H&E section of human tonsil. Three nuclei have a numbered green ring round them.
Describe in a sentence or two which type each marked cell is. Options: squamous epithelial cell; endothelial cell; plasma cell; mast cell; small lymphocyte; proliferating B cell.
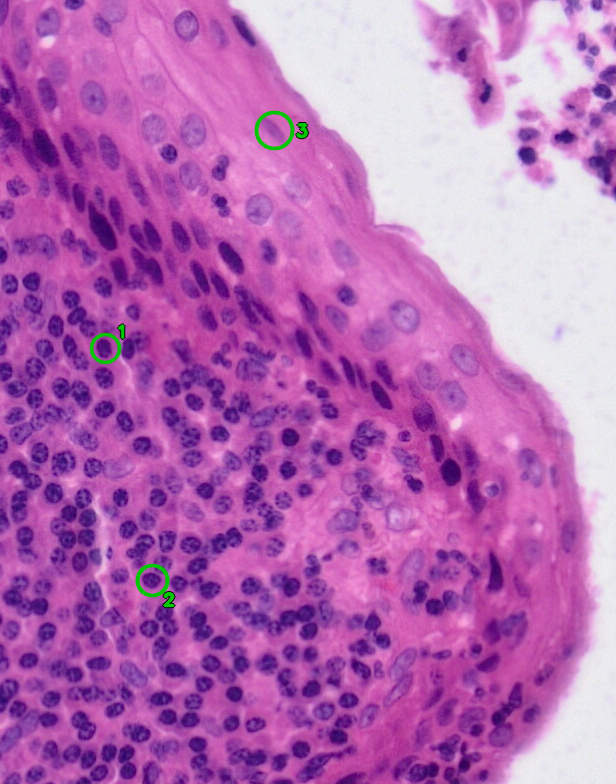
Cells 1 and 2 are plasma cells. Cell 3 is a squamous epithelial cell.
